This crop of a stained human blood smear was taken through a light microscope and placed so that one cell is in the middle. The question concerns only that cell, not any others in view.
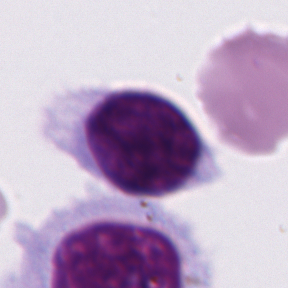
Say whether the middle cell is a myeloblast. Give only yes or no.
no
